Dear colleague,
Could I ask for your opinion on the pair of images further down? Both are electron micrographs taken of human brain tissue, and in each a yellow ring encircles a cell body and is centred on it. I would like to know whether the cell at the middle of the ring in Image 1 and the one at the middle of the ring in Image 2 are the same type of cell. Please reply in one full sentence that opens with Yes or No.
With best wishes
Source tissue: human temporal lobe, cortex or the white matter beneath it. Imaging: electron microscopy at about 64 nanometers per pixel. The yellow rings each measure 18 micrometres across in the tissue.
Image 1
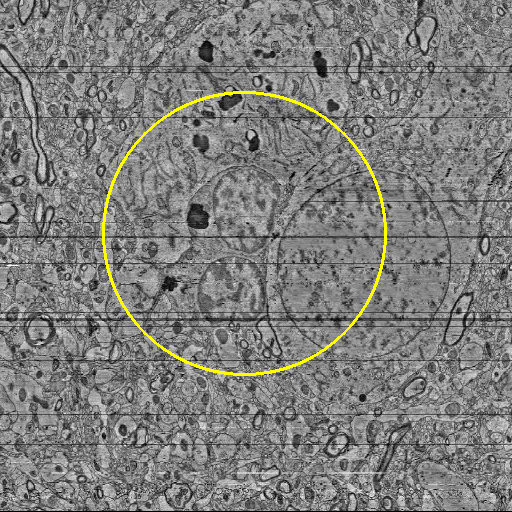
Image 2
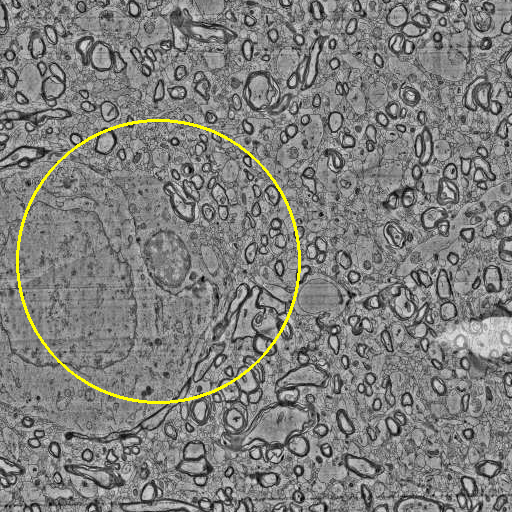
Yes, the cells at the ring centres in Image 1 and Image 2 are of one type.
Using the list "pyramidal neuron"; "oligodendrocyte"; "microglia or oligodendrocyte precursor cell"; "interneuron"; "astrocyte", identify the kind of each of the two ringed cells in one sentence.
Both rings mark an oligodendrocyte, one in each picture.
